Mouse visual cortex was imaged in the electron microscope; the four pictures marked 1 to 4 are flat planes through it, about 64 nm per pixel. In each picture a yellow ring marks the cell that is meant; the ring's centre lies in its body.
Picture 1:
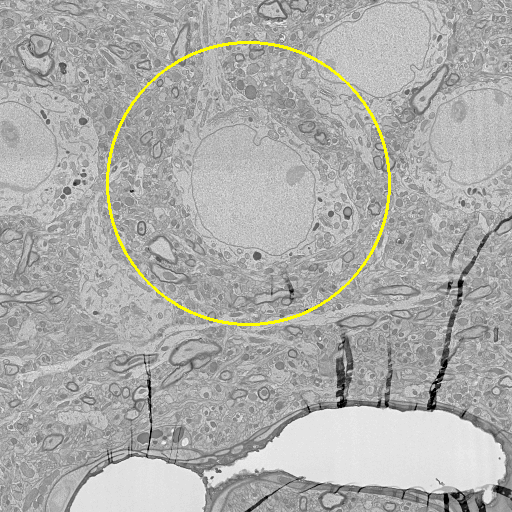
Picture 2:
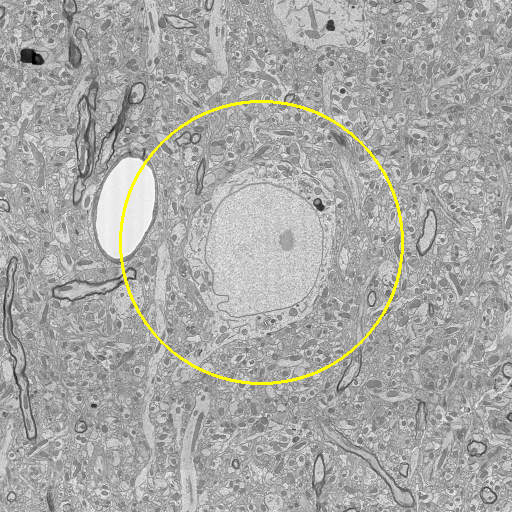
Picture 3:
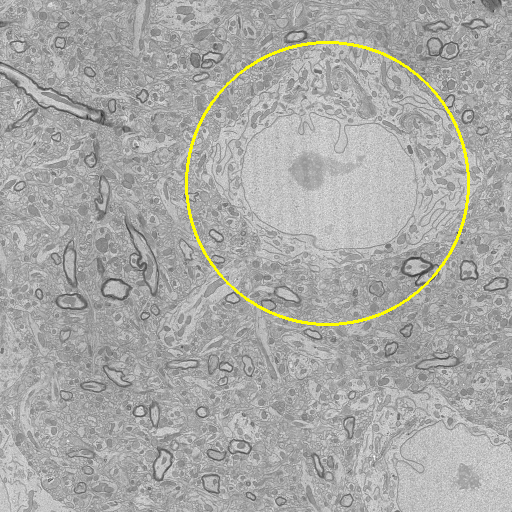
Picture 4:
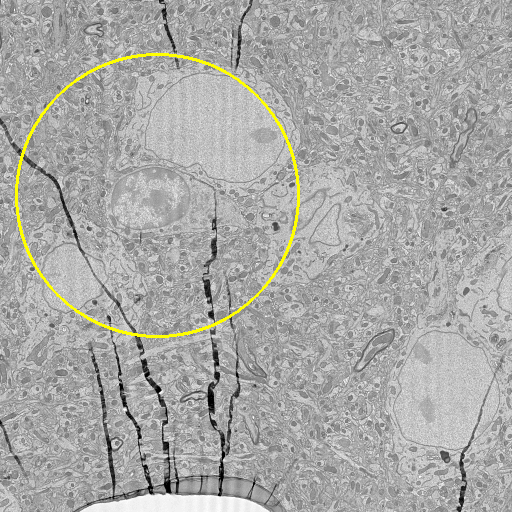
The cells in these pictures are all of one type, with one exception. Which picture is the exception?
The different one is picture 4; it shows an oligodendrocyte, whereas all the others show excitatory neurons.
